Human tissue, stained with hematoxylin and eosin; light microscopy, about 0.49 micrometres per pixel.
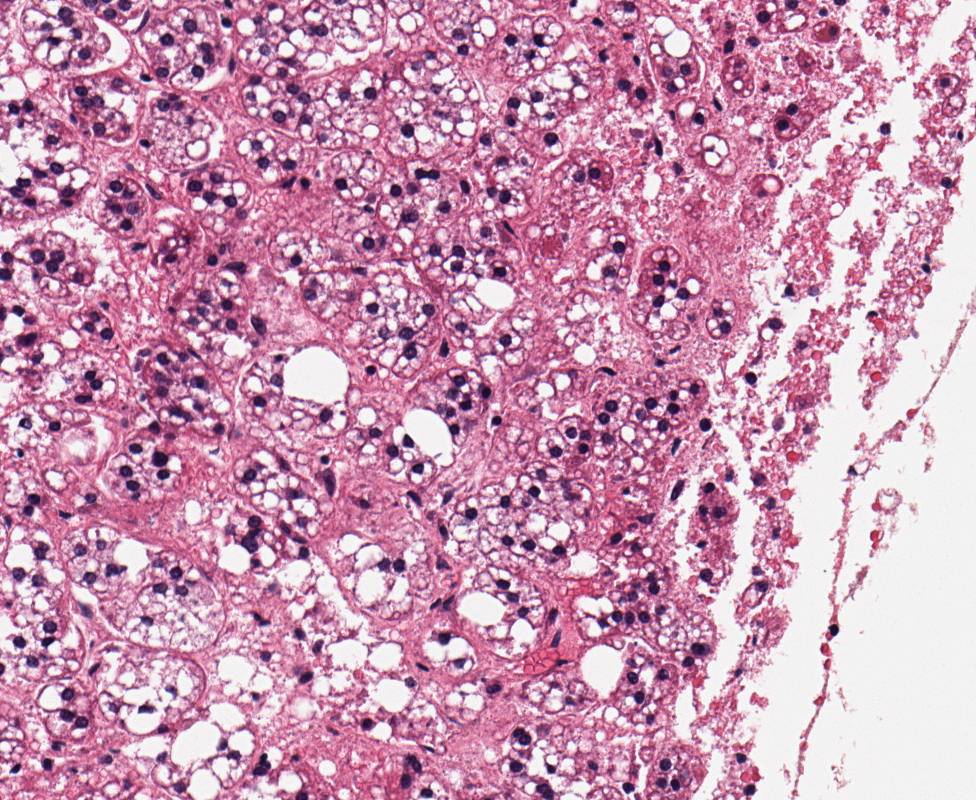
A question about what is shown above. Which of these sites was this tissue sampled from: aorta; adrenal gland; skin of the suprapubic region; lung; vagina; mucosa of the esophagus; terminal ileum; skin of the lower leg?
adrenal gland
